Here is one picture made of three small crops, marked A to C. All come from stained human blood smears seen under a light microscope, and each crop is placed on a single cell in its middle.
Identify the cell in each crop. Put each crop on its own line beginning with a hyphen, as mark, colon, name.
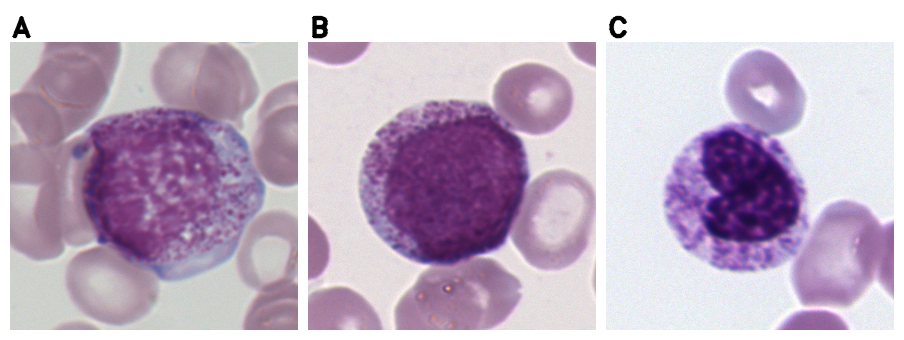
- A: myelocyte
- B: myelocyte
- C: segmented neutrophil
